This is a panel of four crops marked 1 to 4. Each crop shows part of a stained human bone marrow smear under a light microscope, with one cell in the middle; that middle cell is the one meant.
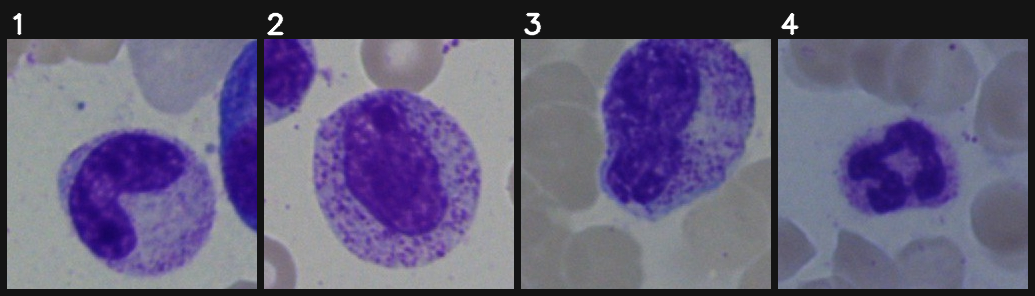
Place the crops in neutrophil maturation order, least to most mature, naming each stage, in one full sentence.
Once sorted from least to most mature, the sequence is crop 2 (a myelocyte), crop 3 (a metamyelocyte), crop 1 (a band neutrophil) and crop 4 (a segmented neutrophil).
